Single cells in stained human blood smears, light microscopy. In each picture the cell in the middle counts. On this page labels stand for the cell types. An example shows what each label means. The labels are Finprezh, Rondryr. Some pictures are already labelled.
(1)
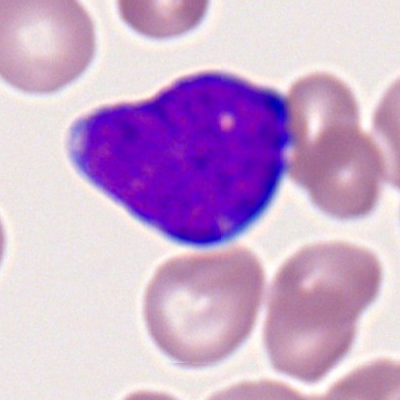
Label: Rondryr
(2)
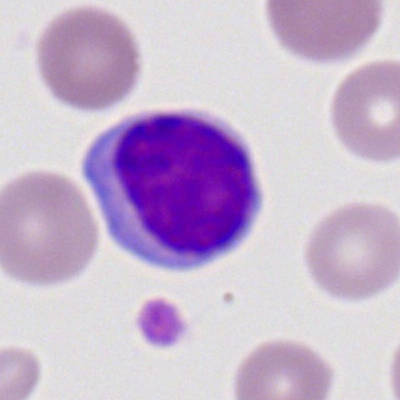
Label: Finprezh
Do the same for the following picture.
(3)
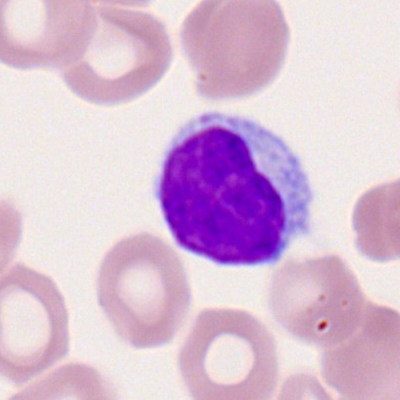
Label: Finprezh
